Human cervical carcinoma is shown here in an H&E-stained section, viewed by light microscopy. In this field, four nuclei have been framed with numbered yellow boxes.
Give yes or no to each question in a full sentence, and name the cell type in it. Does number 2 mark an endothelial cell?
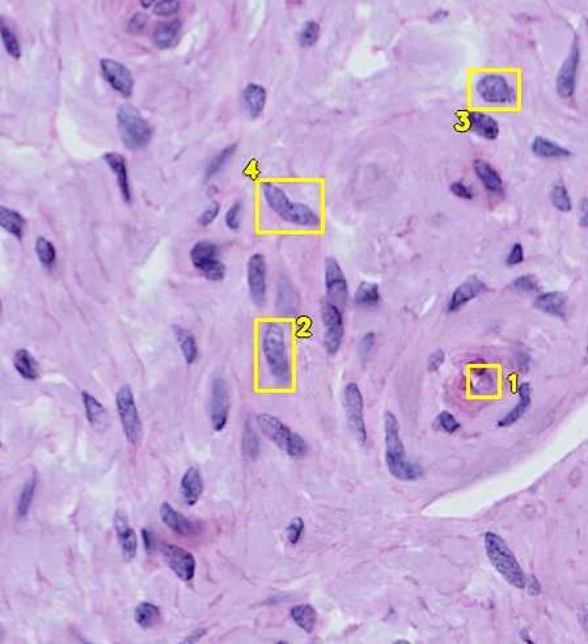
No, it is a fibroblast, rather than an endothelial cell, that carries number 2.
